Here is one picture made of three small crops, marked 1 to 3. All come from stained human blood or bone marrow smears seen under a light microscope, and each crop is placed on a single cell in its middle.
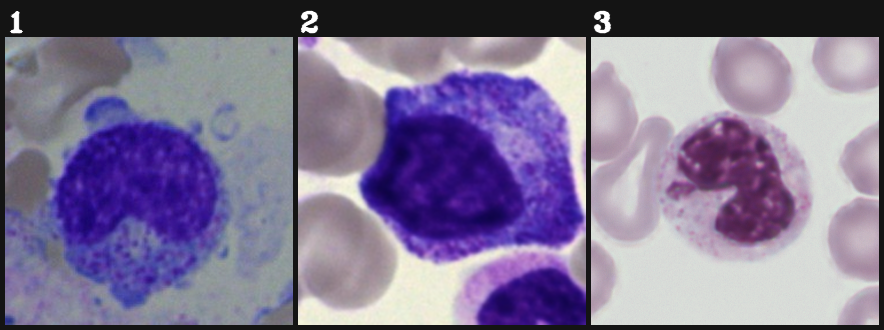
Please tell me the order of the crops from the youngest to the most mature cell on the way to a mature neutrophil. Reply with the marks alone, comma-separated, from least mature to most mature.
2, 1, 3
